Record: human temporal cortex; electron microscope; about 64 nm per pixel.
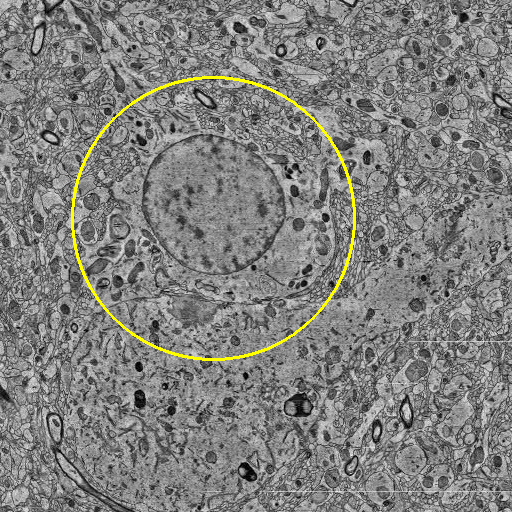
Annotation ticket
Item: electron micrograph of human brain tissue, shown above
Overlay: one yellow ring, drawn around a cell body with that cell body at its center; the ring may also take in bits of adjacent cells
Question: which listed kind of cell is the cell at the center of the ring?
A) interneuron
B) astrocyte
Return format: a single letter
B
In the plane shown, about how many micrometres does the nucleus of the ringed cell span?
In this plane the ringed cell's nucleus is roughly 9 micrometres across.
